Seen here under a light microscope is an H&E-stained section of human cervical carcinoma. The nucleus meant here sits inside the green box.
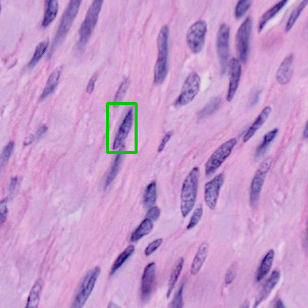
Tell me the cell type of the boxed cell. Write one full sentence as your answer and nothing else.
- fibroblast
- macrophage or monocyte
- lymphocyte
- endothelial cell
In this tissue sample, the boxed cell is a fibroblast.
